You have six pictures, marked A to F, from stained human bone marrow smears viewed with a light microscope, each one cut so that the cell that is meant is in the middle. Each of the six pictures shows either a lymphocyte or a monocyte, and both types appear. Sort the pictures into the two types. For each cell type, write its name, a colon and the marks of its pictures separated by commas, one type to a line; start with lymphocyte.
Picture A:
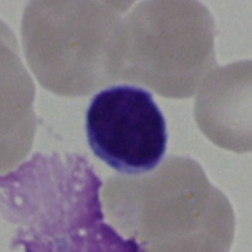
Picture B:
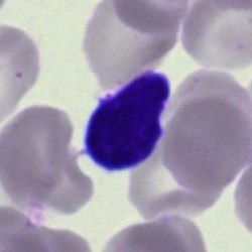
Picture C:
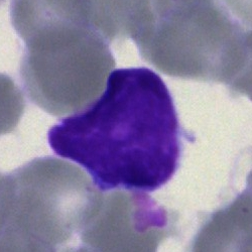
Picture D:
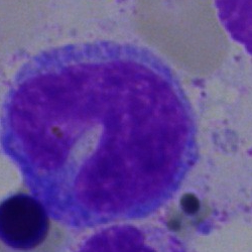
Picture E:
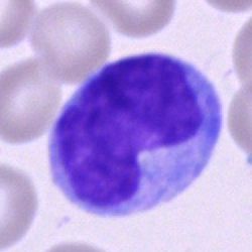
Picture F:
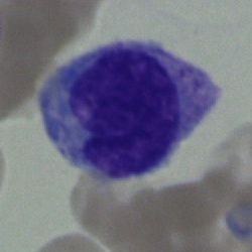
lymphocyte: A, B, C
monocyte: D, E, F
